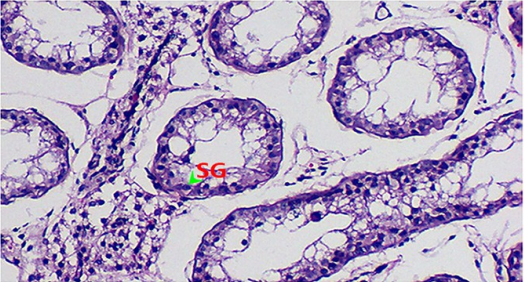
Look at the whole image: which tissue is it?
Testis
